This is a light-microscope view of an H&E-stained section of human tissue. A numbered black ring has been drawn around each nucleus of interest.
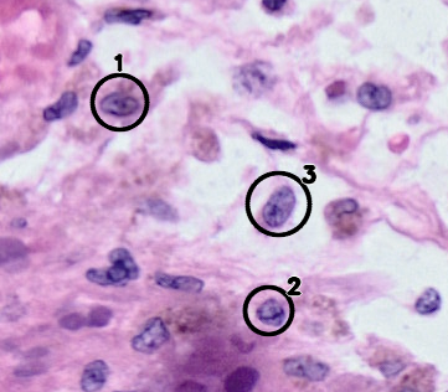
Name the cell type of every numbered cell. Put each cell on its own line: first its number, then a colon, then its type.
1: macrophage or monocyte
2: lymphocyte
3: macrophage or monocyte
